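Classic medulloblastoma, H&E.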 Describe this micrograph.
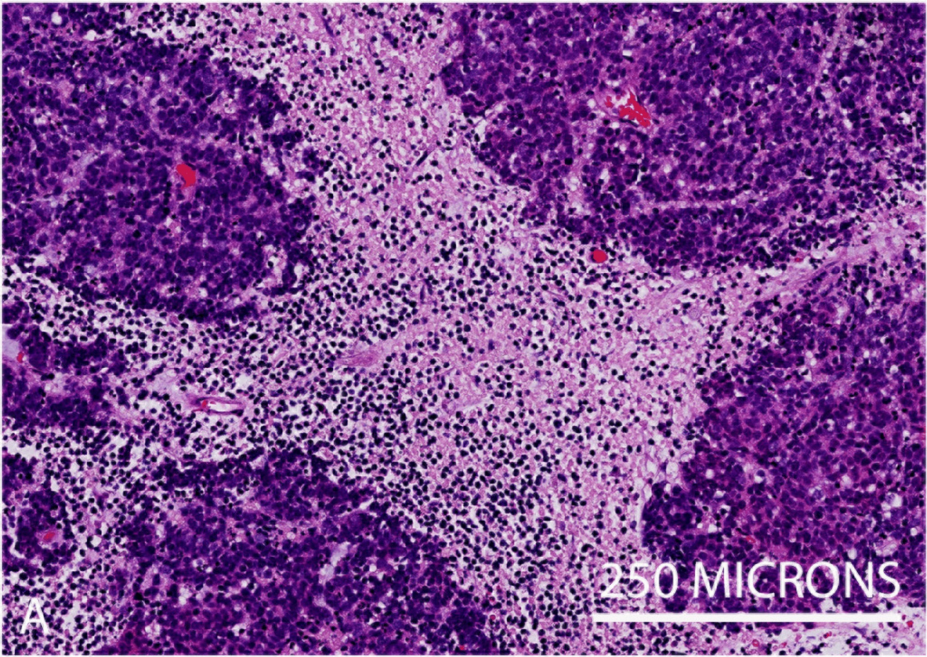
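This is a highly cellular tumour seen at low magnification. Dense masses of small, dark-blue cells fill most of the field. These cells lie in broad sheets and in rounded, lobule-like groups. Between the dense groups lies a paler pink zone in which the dark cells are scattered more loosely. A few small blood vessels with red blood cells can be seen within the cell masses.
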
